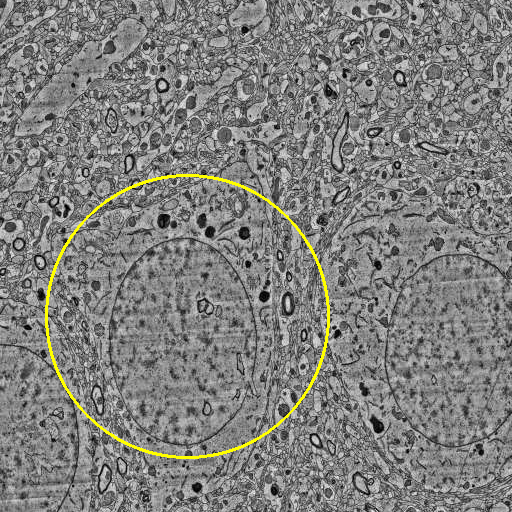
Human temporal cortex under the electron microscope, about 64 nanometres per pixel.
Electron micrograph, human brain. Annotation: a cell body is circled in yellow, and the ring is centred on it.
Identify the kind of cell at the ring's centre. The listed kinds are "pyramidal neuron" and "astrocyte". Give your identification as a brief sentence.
The circled cell body is that of a pyramidal neuron.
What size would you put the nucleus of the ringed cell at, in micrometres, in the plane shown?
In this plane, about 13 micrometres in length and 9 in width.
